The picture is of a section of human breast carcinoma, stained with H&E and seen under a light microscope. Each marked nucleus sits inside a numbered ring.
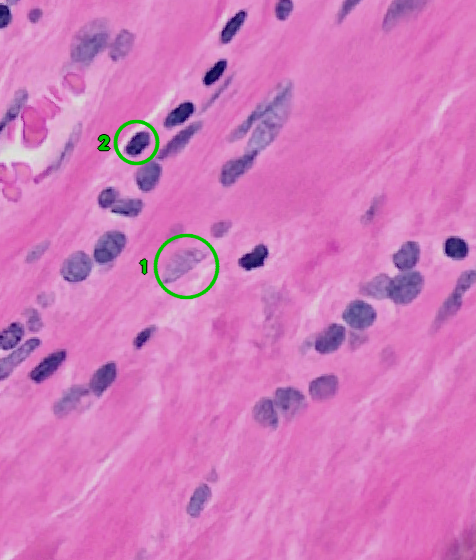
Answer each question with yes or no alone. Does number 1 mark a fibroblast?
yes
